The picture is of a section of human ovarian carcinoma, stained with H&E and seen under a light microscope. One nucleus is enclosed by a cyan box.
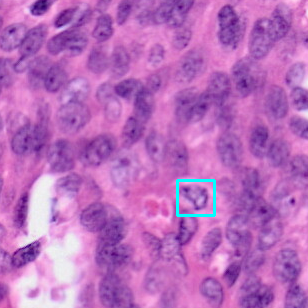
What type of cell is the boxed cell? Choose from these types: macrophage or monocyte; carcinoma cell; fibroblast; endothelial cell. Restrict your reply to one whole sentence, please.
In this tissue sample, the boxed cell is a macrophage or monocyte.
